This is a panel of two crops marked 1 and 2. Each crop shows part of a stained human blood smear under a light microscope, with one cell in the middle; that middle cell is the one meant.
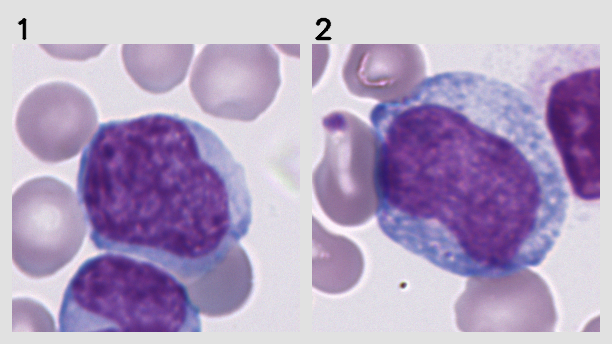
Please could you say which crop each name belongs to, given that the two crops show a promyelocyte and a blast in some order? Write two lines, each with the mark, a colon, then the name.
1: blast
2: promyelocyte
